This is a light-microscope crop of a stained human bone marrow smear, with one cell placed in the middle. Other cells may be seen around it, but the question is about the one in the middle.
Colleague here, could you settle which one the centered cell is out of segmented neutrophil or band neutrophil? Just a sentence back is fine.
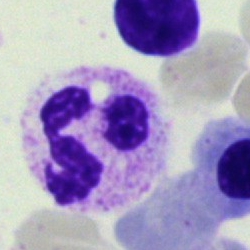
In the crop, the cell of interest at the centre is a segmented neutrophil.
